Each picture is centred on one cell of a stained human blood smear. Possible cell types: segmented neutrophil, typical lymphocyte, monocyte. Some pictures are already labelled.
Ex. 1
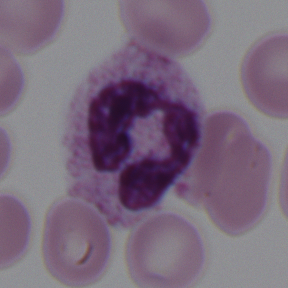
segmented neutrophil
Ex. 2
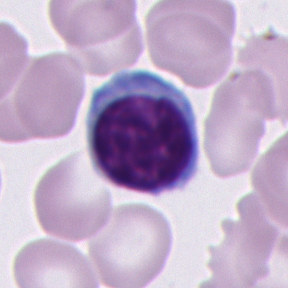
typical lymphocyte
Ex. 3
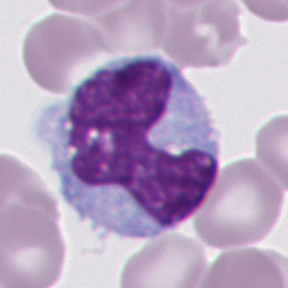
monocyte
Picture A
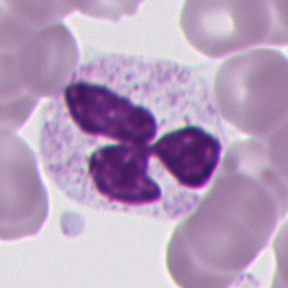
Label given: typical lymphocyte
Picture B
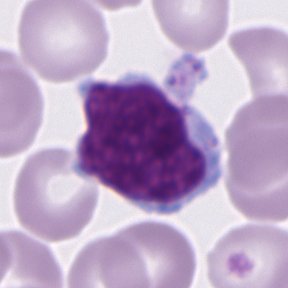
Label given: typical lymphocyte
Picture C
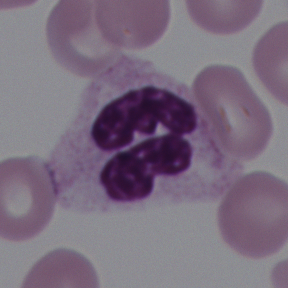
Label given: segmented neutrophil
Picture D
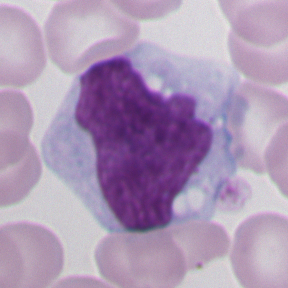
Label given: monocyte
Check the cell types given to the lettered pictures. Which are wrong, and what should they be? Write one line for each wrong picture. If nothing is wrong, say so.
A is labelled typical lymphocyte; correct label: segmented neutrophil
